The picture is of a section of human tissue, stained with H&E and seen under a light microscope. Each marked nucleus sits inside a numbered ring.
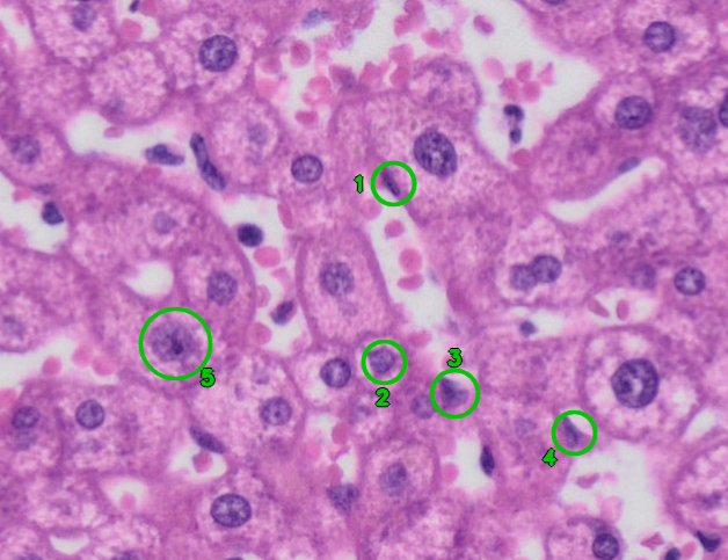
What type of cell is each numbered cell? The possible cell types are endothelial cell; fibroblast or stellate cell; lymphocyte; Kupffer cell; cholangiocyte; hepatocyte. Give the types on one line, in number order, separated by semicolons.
endothelial cell; hepatocyte; endothelial cell; Kupffer cell; hepatocyte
